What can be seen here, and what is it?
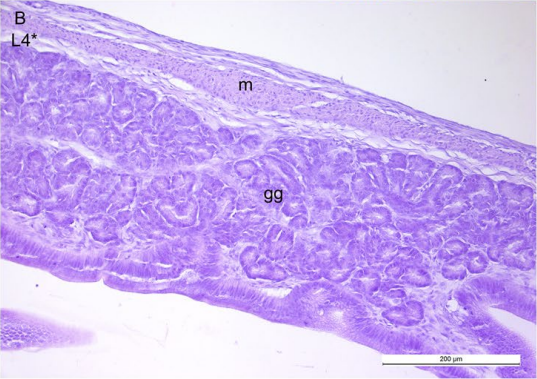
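The glandular stomach wall is filled with gastric glands: closely packed, coiled tubular glands cut in many planes, each a ring of cells with purple cytoplasm and round nuclei around a narrow lumen. The glands lie in a thick layer beneath the lining of the lumen, where a row of tall columnar epithelial cells with elongated nuclei faces the cavity at the lower edge. On the outer side, at the top, a thin band of pale pink muscle with spindle-shaped nuclei covers the gland layer, and a fine outer covering lies over it.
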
